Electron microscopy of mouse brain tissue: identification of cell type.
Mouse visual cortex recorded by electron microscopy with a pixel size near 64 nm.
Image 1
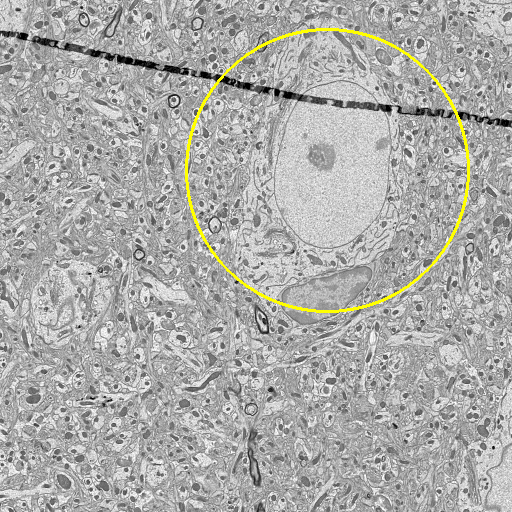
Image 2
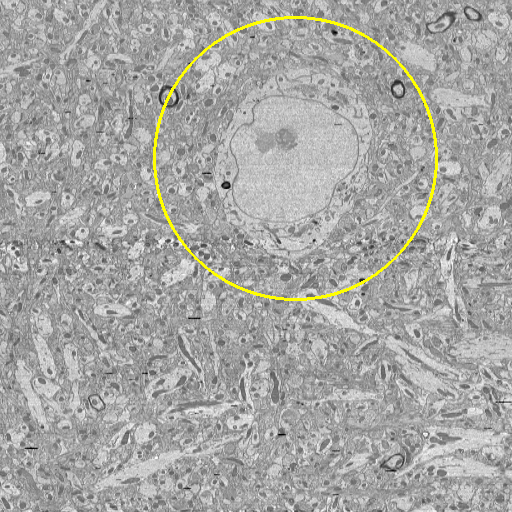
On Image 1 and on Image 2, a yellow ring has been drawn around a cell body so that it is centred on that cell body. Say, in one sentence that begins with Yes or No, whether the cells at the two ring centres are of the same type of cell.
Yes, both cells are the same type of cell.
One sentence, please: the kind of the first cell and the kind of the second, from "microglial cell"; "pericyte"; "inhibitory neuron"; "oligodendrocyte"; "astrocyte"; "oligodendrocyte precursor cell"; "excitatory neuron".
Each of the two rings surrounds an excitatory neuron.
